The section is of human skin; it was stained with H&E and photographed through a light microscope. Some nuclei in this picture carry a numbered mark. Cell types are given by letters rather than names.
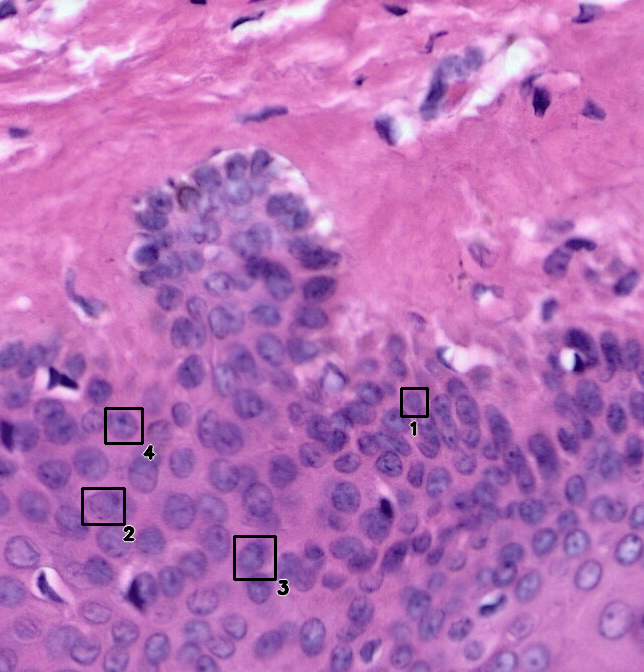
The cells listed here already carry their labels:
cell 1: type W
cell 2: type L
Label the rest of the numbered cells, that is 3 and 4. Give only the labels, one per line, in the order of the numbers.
type L
type L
